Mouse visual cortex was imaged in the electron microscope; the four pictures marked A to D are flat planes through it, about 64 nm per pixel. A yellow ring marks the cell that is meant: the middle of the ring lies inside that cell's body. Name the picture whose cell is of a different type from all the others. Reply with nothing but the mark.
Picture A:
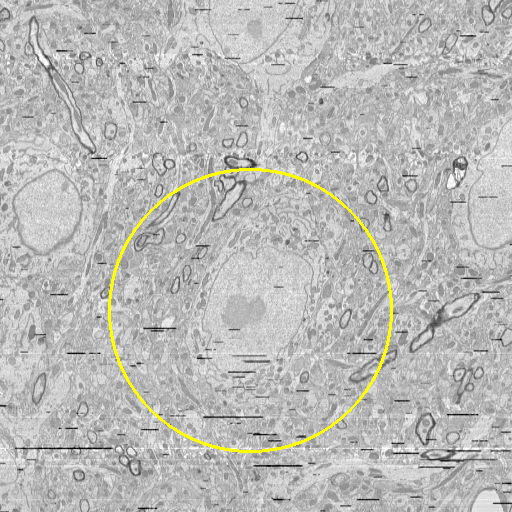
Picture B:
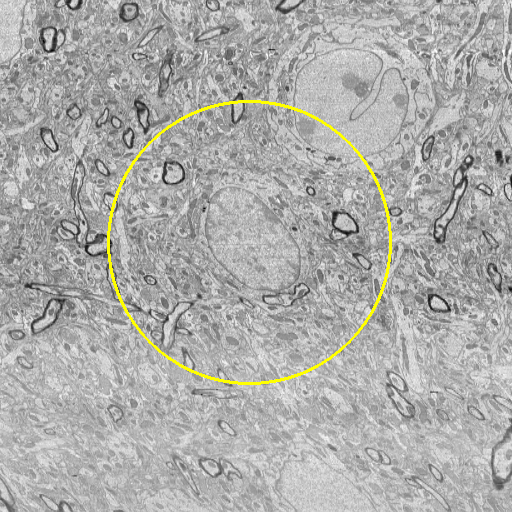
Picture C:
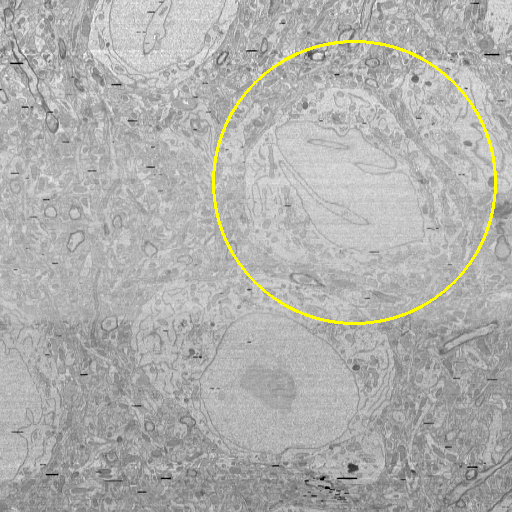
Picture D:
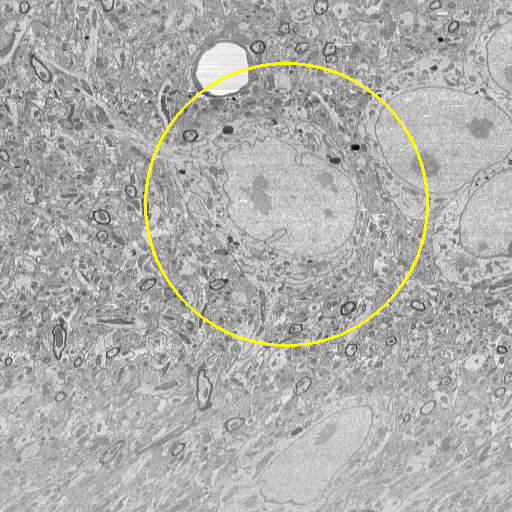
B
